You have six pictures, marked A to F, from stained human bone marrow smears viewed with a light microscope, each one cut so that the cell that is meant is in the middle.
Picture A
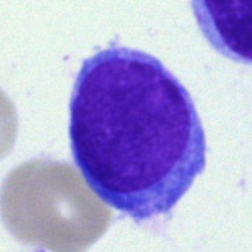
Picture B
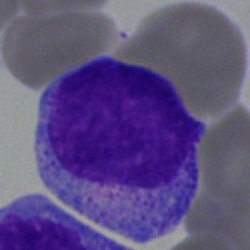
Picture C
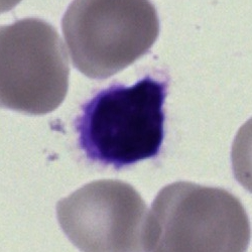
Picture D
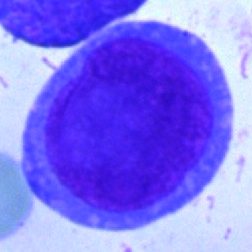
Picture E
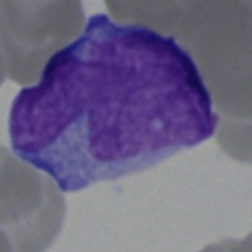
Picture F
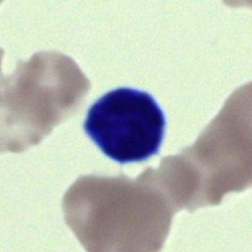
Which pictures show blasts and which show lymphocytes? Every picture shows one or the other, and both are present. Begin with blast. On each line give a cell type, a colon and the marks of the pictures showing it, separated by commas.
blast: A, B, D, E
lymphocyte: C, F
